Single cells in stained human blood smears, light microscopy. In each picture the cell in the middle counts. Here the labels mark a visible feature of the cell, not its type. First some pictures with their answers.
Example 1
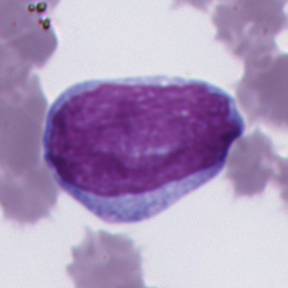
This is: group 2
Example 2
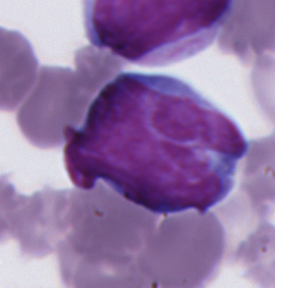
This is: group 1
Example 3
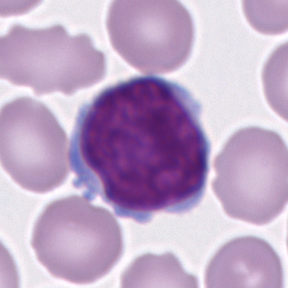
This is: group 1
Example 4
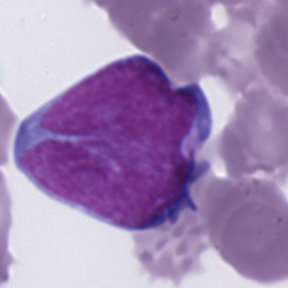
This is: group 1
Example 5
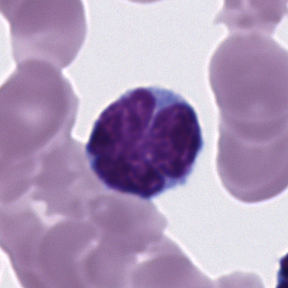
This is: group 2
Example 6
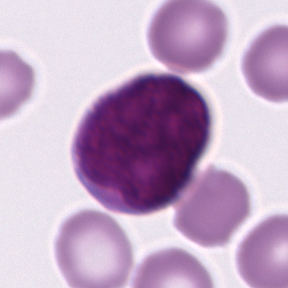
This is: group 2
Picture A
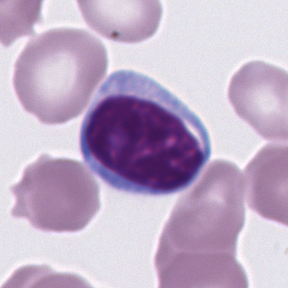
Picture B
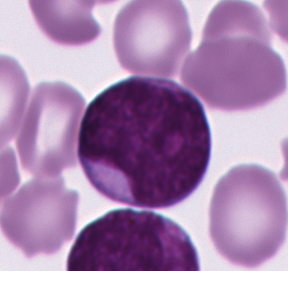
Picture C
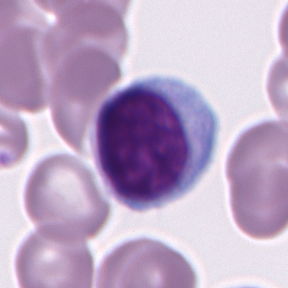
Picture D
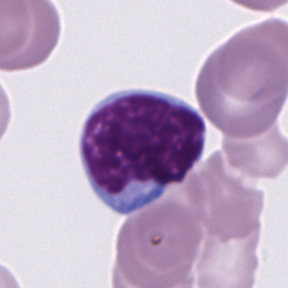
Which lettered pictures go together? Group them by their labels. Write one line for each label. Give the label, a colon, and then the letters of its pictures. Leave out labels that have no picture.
group 2: A, B, C, D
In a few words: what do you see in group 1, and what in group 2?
group 1: ragged outline or projections; group 2: smooth outline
